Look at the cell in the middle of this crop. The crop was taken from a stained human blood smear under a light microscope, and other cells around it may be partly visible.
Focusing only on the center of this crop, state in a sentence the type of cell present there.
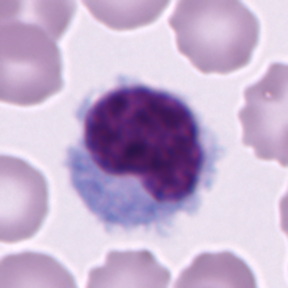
The single cell at the center of the crop is a hairy cell.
